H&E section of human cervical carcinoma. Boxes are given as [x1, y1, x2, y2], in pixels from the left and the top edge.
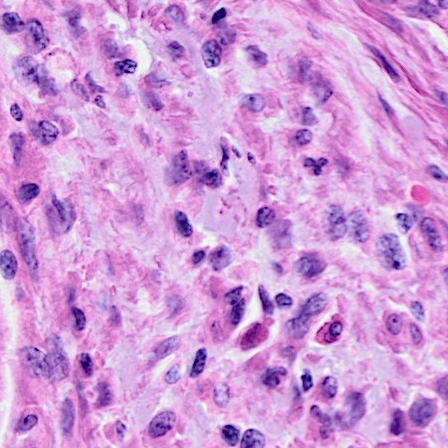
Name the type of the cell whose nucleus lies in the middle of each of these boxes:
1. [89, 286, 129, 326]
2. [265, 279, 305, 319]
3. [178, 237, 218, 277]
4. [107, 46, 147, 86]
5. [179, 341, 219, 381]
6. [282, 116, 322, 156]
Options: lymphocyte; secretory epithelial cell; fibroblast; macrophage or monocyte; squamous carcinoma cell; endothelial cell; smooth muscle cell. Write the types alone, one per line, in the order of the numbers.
fibroblast
lymphocyte
lymphocyte
lymphocyte
lymphocyte
macrophage or monocyte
